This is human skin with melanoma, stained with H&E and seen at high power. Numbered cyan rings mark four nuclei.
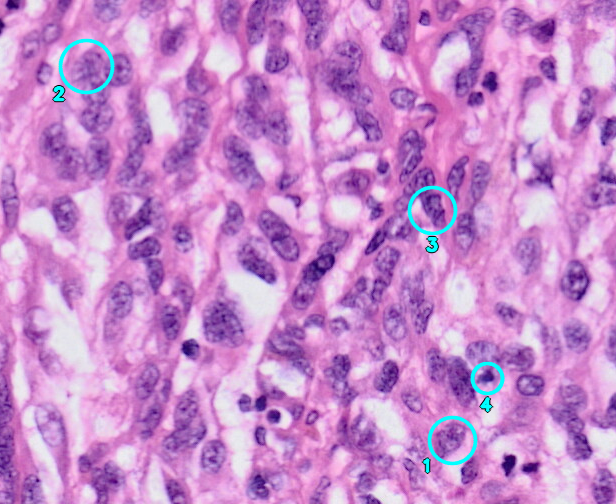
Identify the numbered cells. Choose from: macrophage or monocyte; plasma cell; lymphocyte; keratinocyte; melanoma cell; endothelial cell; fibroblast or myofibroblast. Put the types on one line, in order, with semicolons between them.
melanoma cell; melanoma cell; melanoma cell; lymphocyte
